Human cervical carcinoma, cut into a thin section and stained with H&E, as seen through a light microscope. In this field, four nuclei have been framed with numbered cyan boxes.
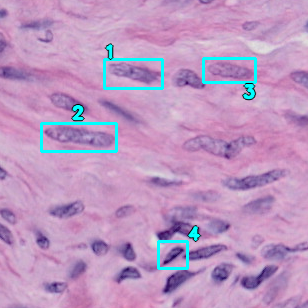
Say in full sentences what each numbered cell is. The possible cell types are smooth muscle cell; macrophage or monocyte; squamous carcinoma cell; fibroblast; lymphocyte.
Cells 1, 2 and 3 are smooth muscle cells. Cell 4 is a fibroblast.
